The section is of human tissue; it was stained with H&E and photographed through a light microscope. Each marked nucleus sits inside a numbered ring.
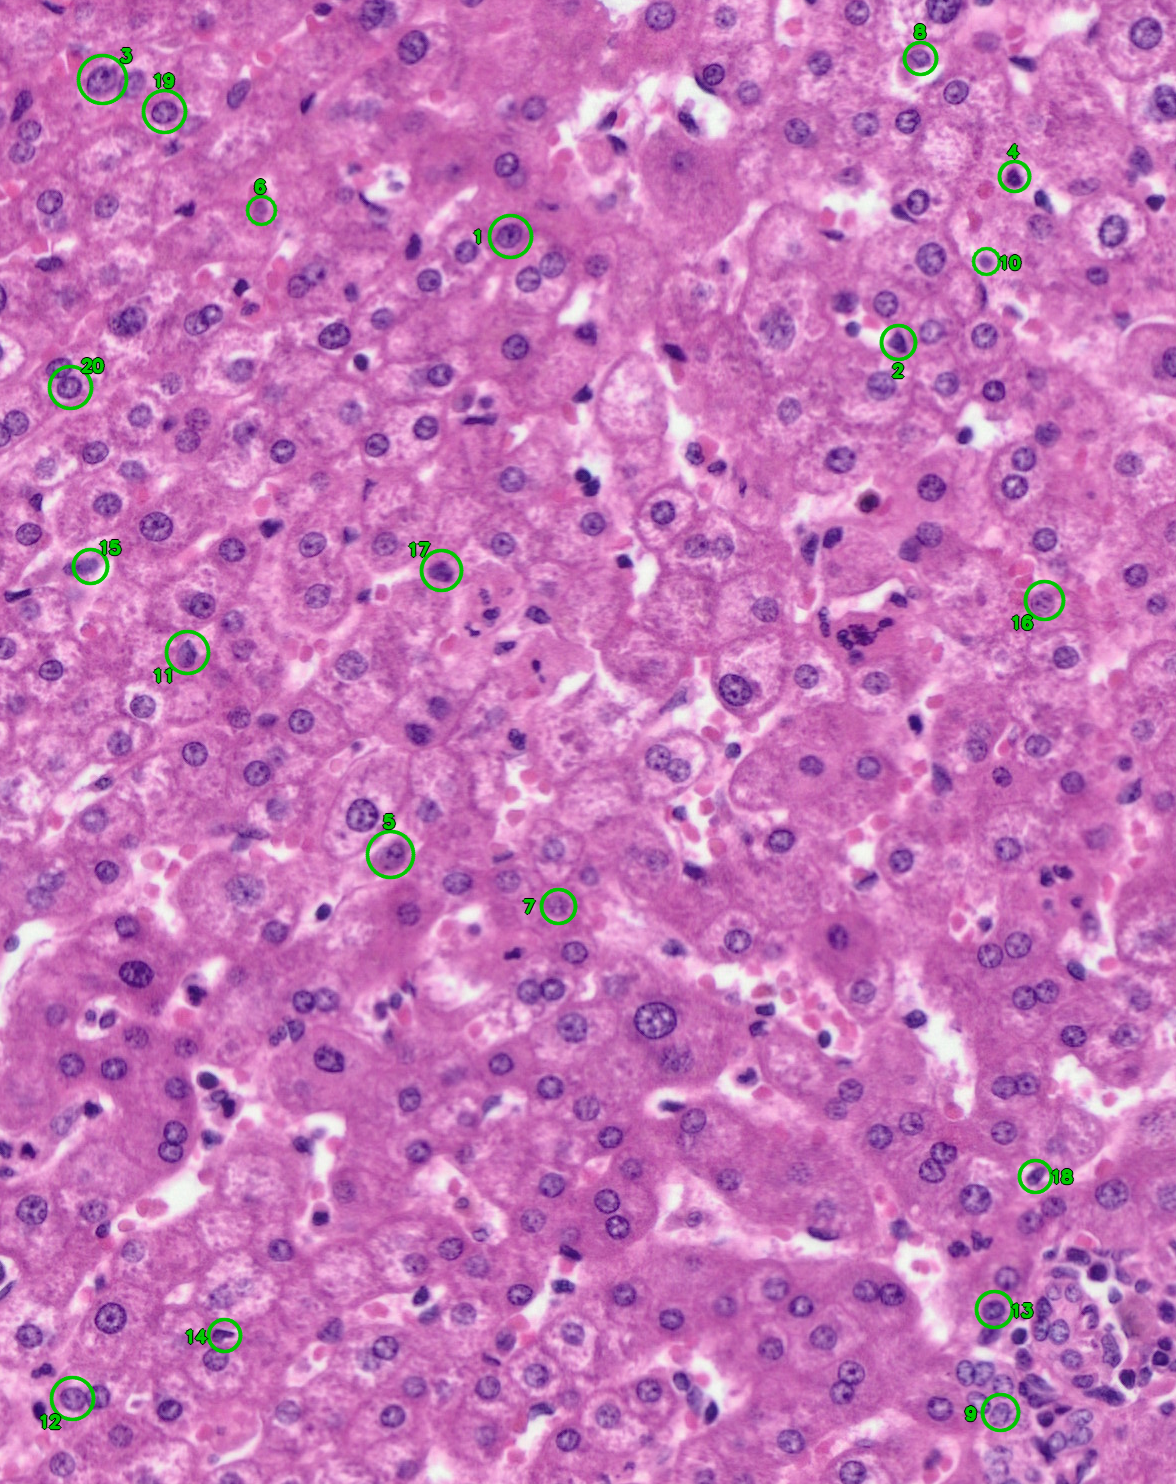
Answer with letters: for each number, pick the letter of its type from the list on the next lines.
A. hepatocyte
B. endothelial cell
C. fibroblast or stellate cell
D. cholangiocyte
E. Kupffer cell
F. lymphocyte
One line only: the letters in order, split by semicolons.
A; C; A; F; E; E; A; E; D; F; B; A; D; B; E; A; C; F; A; A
